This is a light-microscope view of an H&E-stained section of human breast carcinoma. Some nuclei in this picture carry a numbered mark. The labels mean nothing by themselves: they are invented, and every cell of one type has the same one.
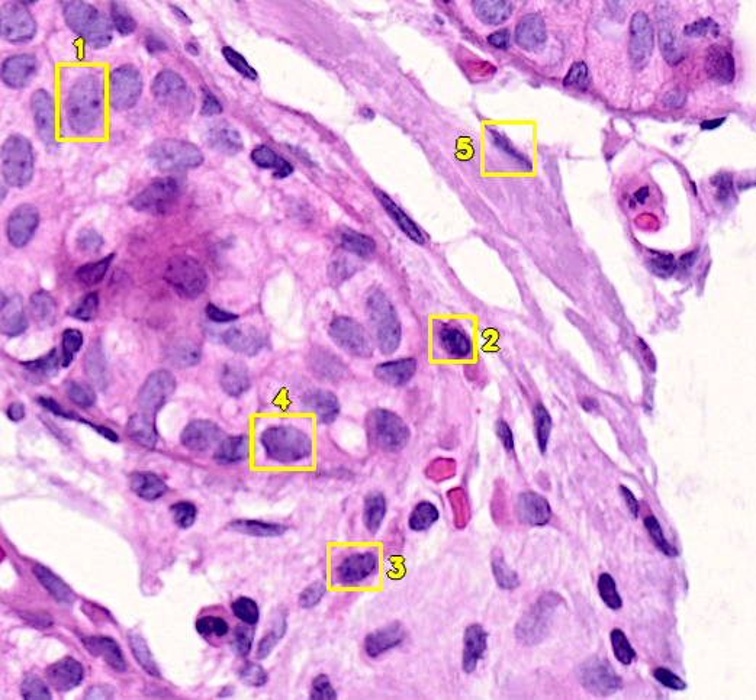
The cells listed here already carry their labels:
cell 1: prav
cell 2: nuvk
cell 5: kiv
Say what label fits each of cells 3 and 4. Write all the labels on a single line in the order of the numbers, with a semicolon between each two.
nuvk; prav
